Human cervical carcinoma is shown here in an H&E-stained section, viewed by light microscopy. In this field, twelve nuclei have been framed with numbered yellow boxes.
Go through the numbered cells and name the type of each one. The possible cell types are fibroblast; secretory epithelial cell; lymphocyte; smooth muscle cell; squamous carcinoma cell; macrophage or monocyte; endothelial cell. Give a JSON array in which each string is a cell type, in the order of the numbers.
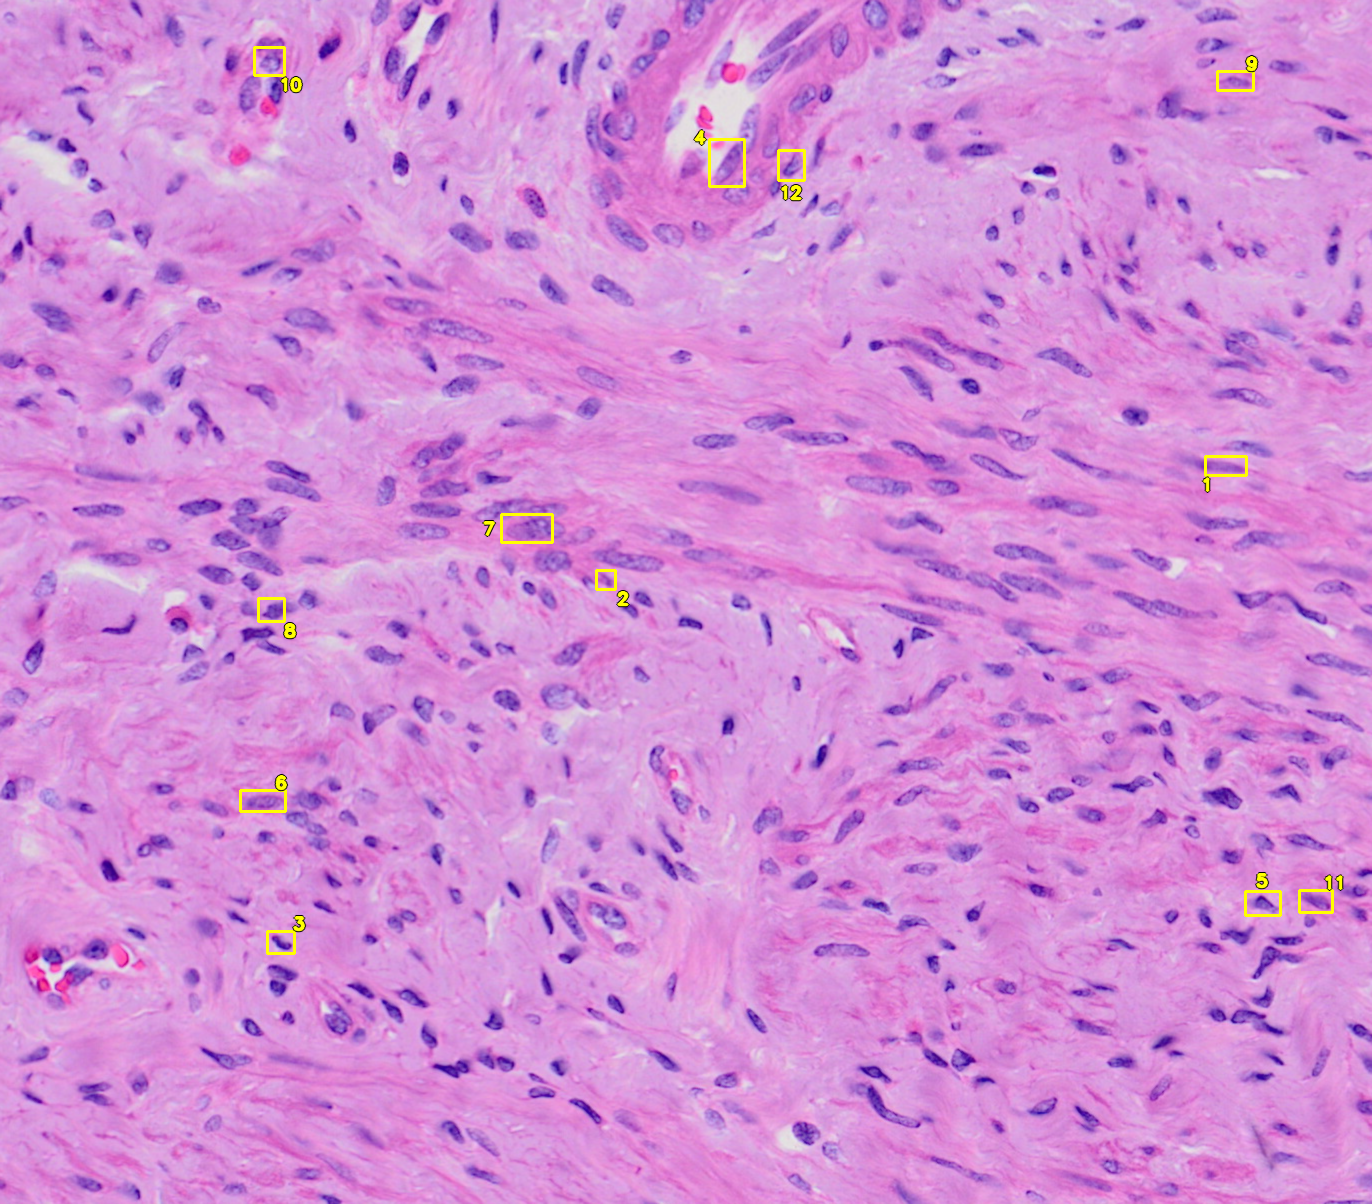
["smooth muscle cell", "smooth muscle cell", "fibroblast", "endothelial cell", "fibroblast", "smooth muscle cell", "smooth muscle cell", "fibroblast", "smooth muscle cell", "endothelial cell", "smooth muscle cell", "smooth muscle cell"]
